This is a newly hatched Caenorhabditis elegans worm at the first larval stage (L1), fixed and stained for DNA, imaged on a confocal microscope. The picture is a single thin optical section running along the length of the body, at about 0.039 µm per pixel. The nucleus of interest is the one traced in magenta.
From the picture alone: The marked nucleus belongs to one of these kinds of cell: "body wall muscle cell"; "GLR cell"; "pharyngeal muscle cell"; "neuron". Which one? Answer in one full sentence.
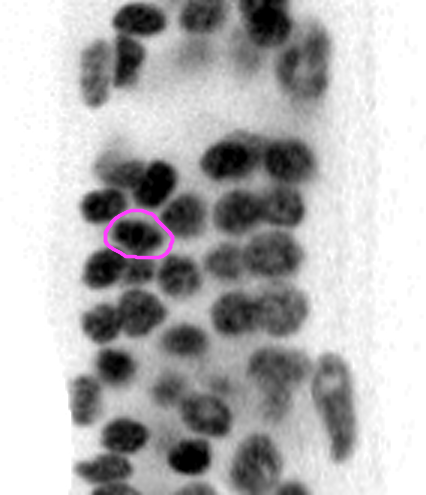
The marked nucleus is that of a neuron.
